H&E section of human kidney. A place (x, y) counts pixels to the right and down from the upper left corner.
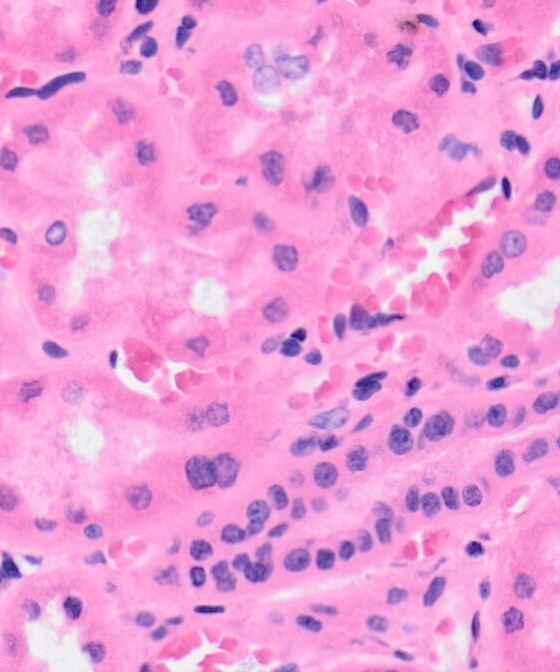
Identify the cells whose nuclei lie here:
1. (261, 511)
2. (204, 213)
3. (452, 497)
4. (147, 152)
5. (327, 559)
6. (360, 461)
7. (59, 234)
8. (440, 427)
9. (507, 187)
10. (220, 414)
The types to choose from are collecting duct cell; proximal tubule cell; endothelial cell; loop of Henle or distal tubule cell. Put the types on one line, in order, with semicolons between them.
collecting duct cell; proximal tubule cell; collecting duct cell; proximal tubule cell; collecting duct cell; collecting duct cell; proximal tubule cell; collecting duct cell; endothelial cell; proximal tubule cell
